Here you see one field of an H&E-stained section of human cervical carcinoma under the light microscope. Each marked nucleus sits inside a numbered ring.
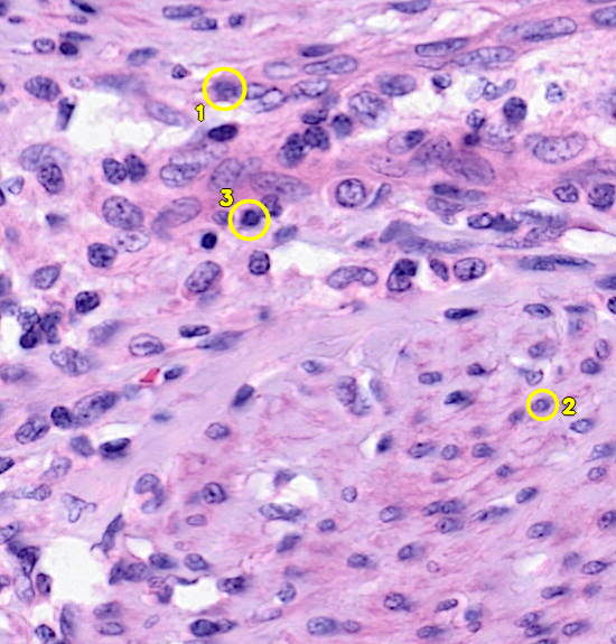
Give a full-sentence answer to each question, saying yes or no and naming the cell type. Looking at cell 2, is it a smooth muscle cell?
Yes, within this section, cell number 2 is a smooth muscle cell.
